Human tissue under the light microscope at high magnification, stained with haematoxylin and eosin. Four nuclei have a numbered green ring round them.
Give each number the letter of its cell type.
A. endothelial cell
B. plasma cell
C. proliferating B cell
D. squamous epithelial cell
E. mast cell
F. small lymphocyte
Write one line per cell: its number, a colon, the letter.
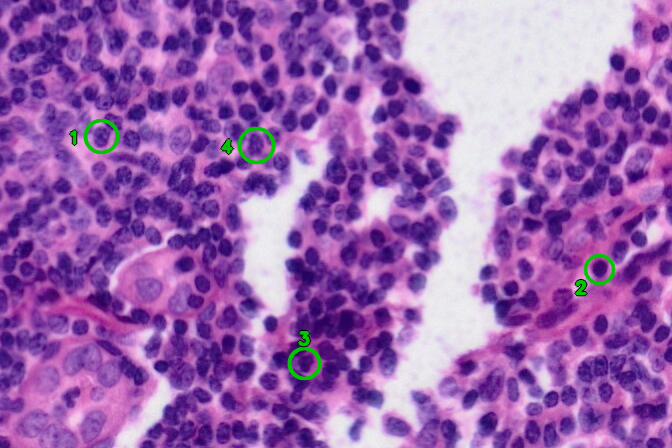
1: F
2: A
3: F
4: F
